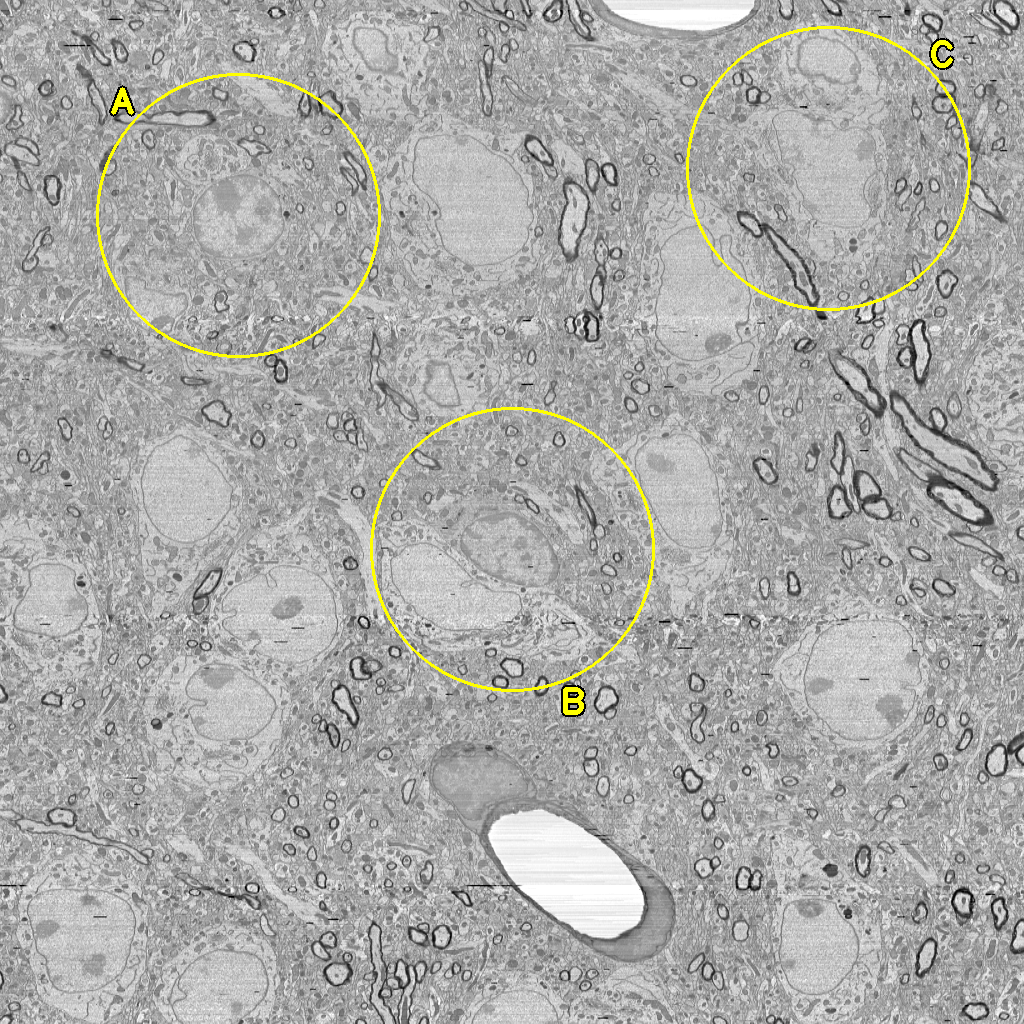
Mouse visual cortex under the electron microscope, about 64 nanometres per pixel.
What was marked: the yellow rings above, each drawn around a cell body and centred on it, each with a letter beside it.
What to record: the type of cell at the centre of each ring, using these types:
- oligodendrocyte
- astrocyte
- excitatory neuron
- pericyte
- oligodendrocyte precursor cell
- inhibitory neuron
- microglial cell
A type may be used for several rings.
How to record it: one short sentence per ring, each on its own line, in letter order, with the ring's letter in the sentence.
Centred in ring A is an oligodendrocyte.
Centred in ring B is an oligodendrocyte.
Centred in ring C is an excitatory neuron.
